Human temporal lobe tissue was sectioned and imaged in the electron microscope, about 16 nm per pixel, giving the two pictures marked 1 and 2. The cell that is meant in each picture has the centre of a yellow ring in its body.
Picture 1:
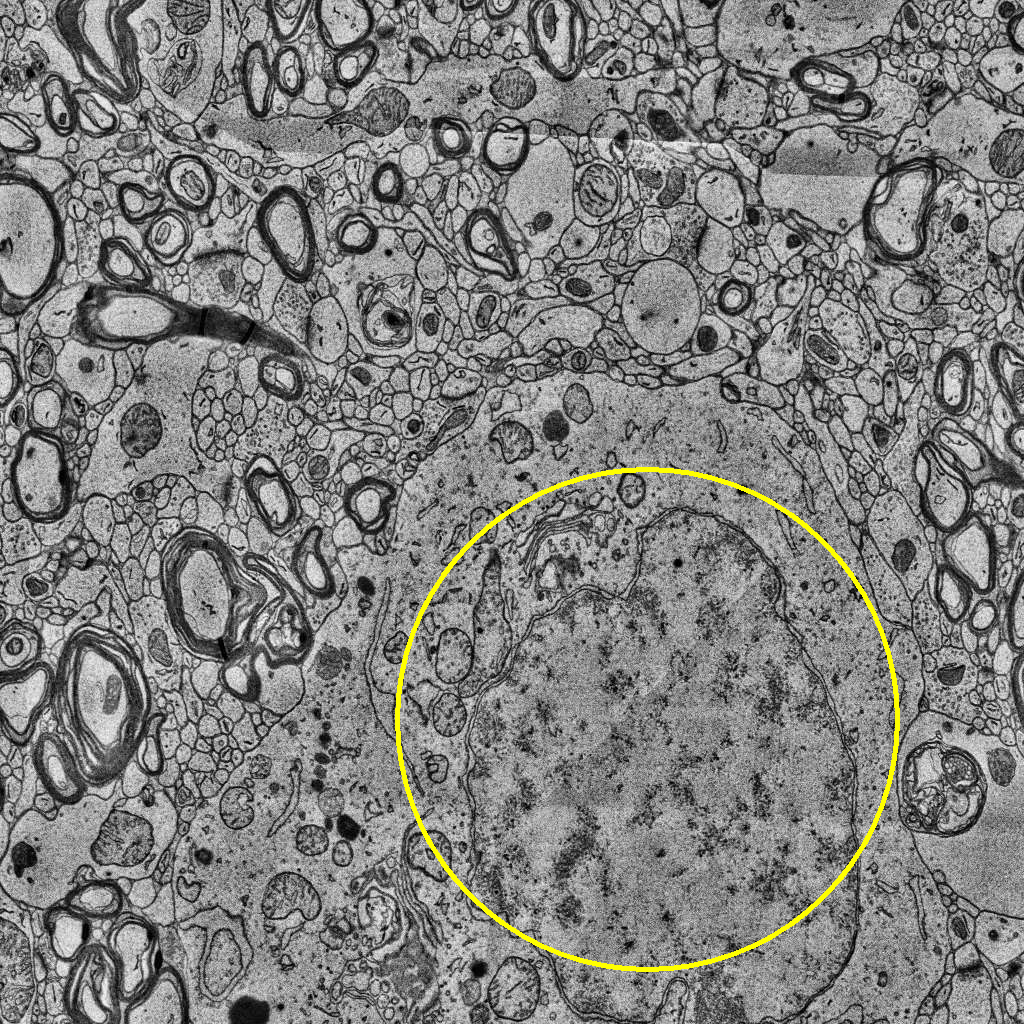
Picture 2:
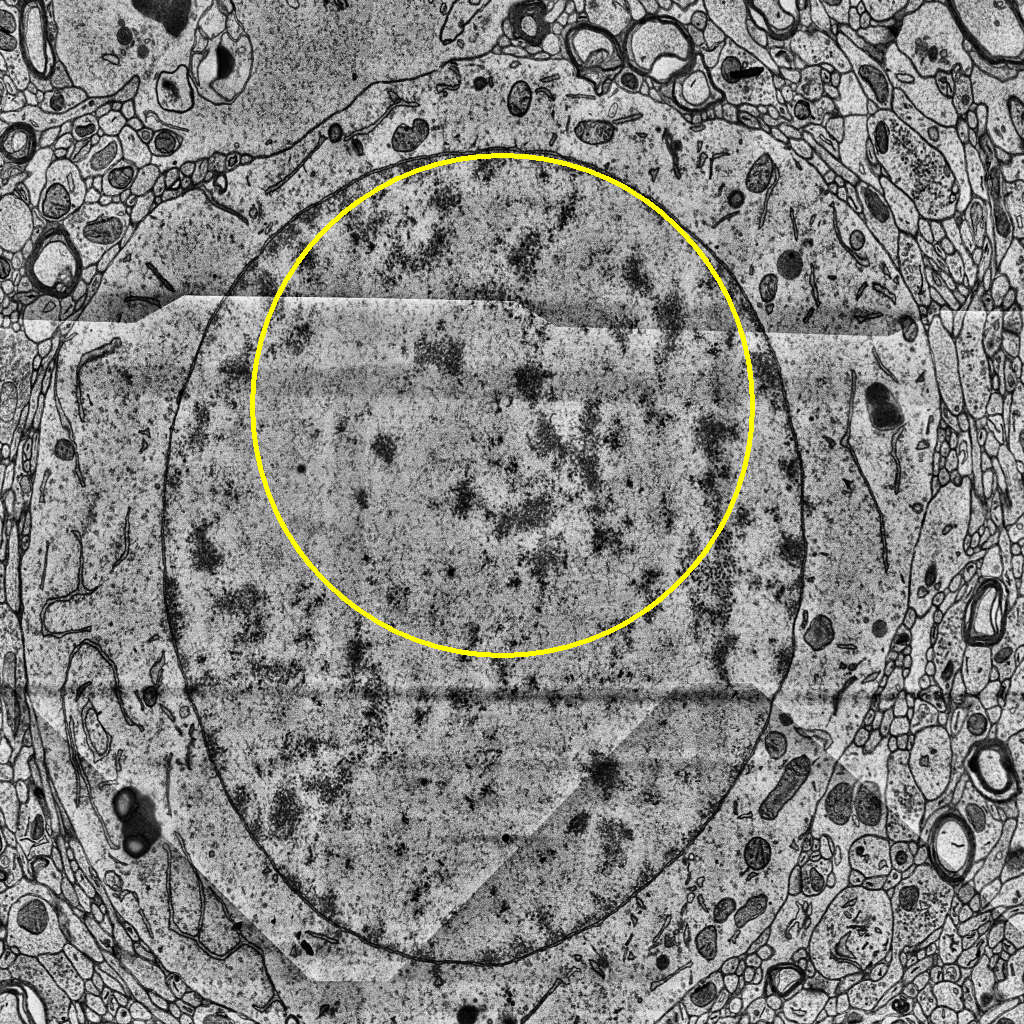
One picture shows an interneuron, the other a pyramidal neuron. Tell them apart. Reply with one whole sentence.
Picture 2 shows a pyramidal neuron, while picture 1 shows an interneuron.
